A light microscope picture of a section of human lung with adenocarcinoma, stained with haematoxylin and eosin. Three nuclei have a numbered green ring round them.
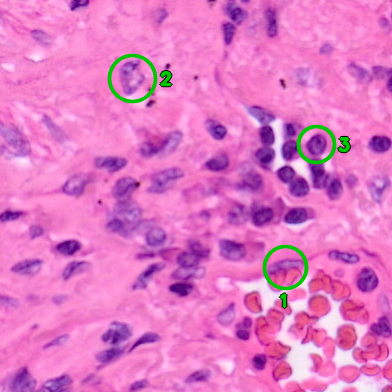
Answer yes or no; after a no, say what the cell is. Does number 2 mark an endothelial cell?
No, it is a fibroblast.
